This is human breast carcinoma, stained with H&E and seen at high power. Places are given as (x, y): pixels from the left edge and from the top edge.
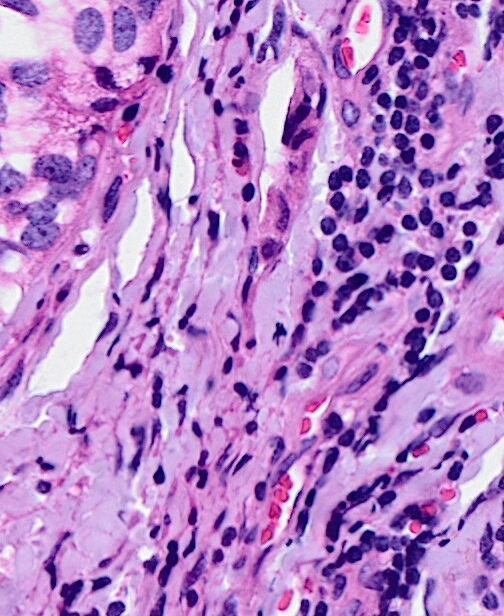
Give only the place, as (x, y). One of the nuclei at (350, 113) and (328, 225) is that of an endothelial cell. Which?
(350, 113)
